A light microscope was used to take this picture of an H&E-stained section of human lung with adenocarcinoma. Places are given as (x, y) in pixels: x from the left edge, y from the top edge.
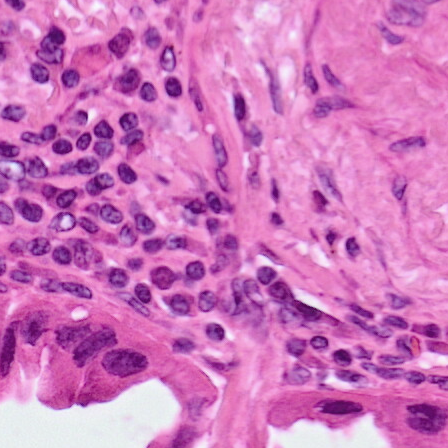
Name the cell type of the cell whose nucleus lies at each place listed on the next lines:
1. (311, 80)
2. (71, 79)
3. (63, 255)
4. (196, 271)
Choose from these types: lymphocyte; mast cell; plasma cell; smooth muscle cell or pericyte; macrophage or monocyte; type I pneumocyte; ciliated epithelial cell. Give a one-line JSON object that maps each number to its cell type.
{"1": "smooth muscle cell or pericyte", "2": "lymphocyte", "3": "lymphocyte", "4": "lymphocyte"}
